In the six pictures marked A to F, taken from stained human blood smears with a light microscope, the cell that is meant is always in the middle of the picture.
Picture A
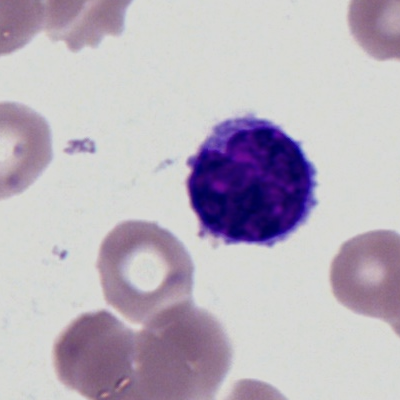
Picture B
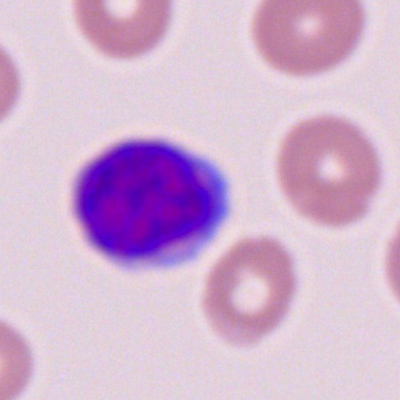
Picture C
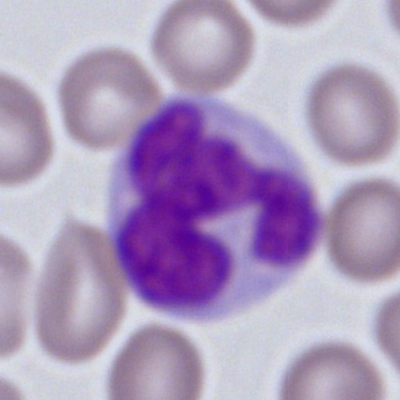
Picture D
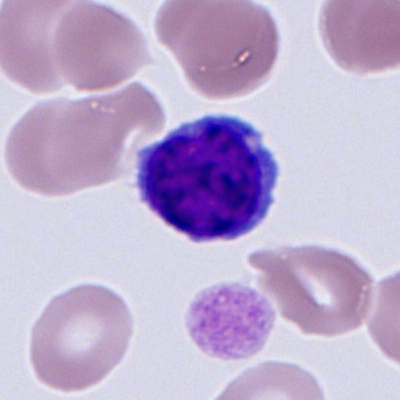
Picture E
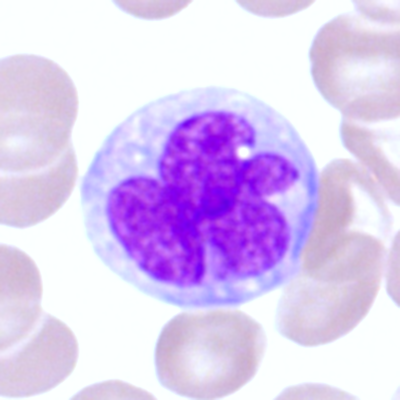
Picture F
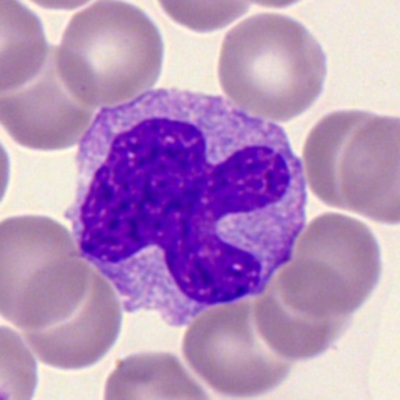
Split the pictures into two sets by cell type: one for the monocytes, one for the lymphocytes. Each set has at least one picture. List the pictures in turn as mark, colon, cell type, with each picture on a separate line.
A: lymphocyte
B: lymphocyte
C: monocyte
D: lymphocyte
E: monocyte
F: monocyte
